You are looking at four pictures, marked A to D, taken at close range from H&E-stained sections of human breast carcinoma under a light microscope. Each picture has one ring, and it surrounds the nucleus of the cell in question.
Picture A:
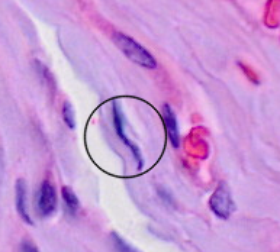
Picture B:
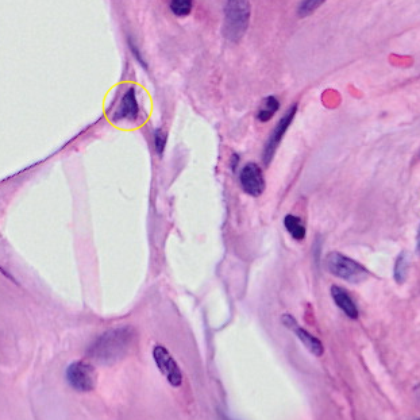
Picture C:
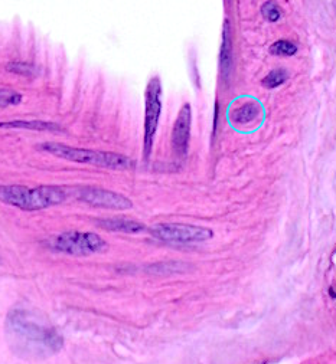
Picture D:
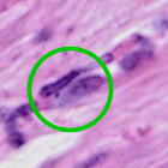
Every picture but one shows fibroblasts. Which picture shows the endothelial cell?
C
